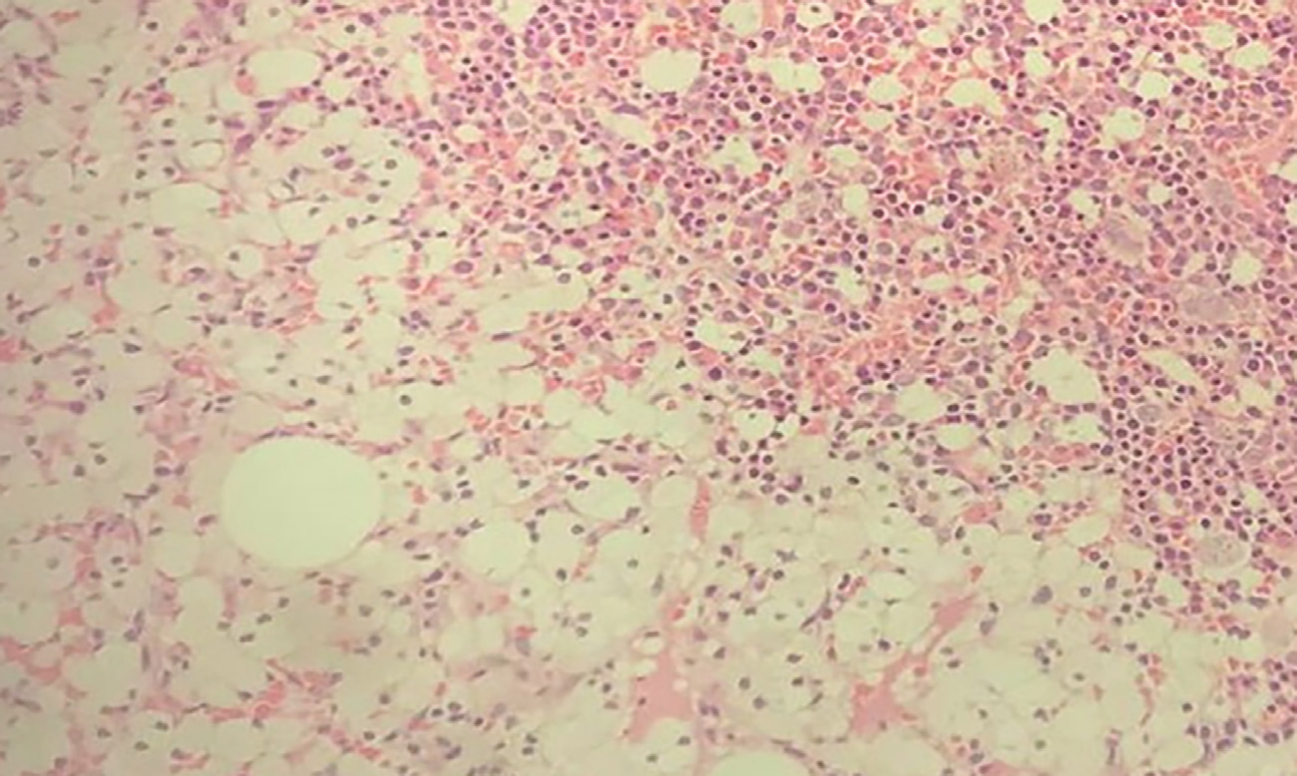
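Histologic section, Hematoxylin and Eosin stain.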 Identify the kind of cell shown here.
macrophages having vacuolated cytoplasm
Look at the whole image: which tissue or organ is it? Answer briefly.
Hematopoietic marrow elements.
